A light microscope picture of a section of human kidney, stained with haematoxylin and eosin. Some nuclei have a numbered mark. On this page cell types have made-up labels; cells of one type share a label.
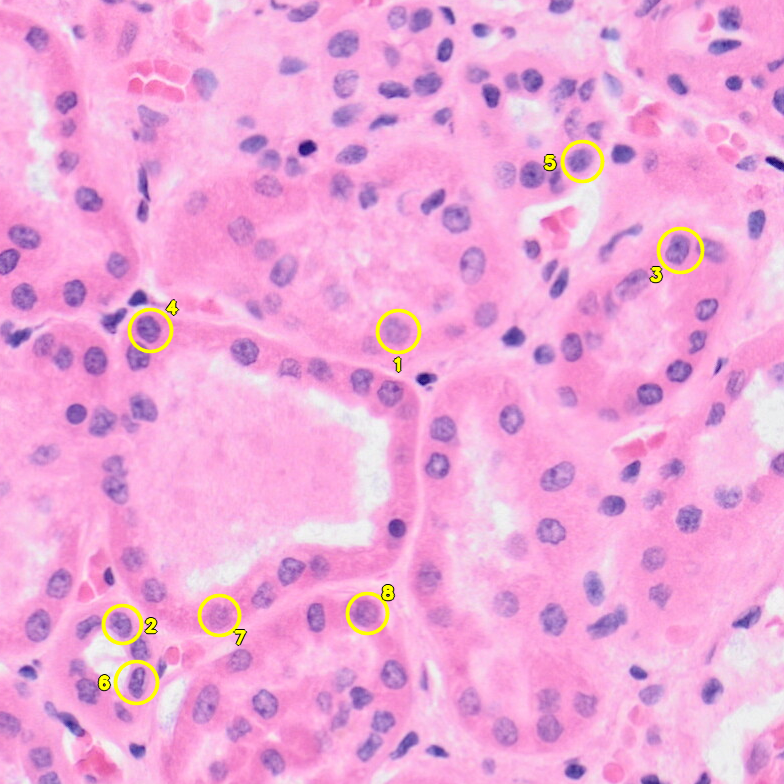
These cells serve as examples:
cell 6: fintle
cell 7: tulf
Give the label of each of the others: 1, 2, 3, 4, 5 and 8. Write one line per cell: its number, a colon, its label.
1: tulf
2: fintle
3: tulf
4: tulf
5: fintle
8: tulf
